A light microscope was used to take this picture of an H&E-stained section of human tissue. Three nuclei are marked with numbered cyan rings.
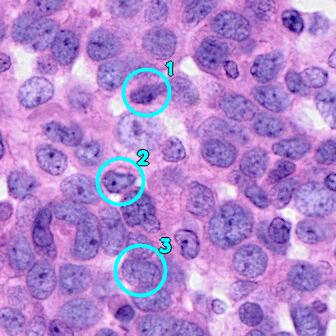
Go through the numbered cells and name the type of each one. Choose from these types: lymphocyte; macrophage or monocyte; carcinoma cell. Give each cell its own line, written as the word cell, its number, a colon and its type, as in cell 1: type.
cell 1: macrophage or monocyte
cell 2: macrophage or monocyte
cell 3: carcinoma cell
